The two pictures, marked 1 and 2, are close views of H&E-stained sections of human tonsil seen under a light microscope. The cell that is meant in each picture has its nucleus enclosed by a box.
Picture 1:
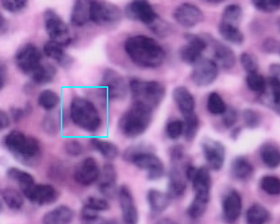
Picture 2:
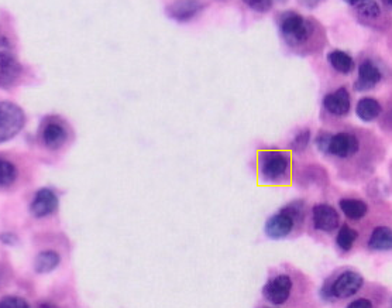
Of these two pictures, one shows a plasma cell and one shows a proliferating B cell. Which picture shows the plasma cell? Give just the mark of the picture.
2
